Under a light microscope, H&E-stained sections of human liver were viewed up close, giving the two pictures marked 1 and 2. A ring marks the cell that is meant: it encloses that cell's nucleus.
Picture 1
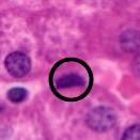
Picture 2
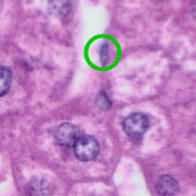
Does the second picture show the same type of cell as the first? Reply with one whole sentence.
No, the types are not the same, since picture 1 shows a “fibroblast or stellate cell” and picture 2 an endothelial cell.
